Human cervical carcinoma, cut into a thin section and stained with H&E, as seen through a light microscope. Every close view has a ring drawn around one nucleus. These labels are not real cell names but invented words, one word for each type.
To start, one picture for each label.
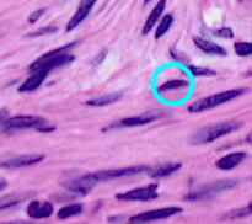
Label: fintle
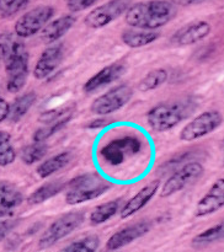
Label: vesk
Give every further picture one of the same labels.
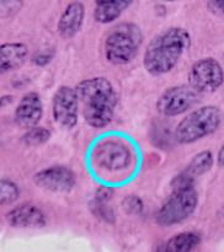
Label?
vesk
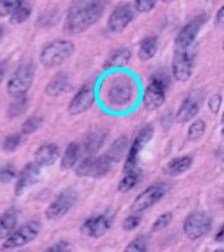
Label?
vesk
